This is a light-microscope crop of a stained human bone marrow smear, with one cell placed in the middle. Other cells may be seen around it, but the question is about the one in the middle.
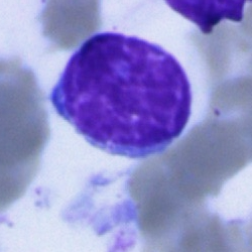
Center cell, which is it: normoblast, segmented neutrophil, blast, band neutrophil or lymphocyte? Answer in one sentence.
What sits at the centre of this crop is a lymphocyte.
